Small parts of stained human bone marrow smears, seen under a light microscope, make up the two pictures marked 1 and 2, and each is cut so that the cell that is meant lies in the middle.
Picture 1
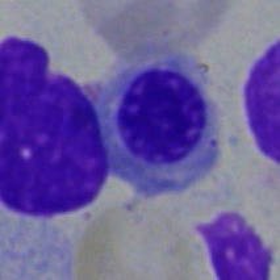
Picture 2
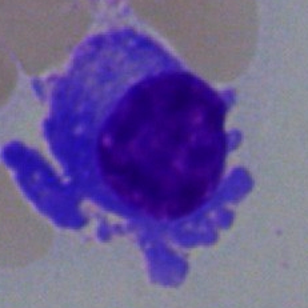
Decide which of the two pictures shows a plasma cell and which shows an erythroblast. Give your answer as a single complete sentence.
Picture 2 shows a plasma cell, while picture 1 shows an erythroblast.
